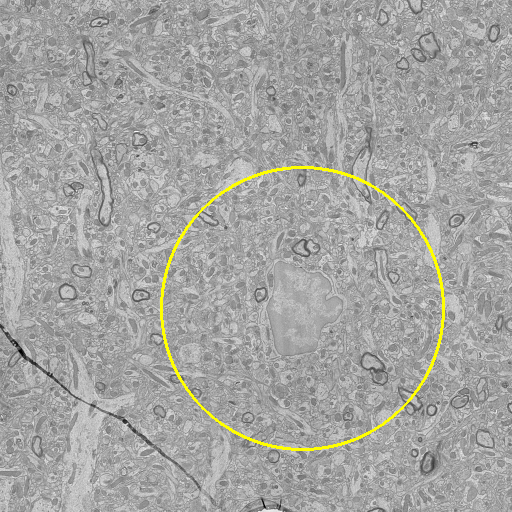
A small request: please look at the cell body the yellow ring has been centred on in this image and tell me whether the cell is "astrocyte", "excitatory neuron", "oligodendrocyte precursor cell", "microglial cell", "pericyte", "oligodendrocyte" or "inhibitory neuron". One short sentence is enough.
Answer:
The cell marked by the ring is a microglial cell.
